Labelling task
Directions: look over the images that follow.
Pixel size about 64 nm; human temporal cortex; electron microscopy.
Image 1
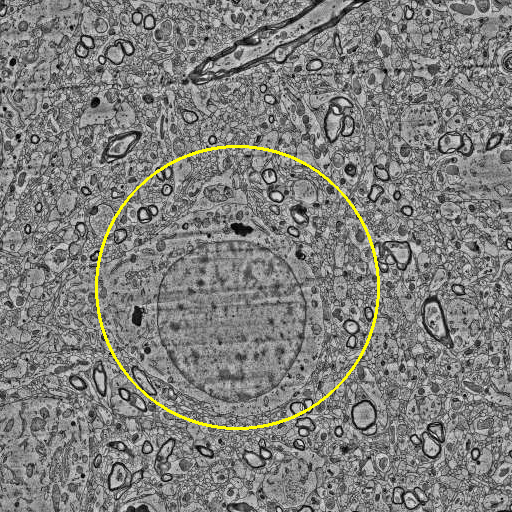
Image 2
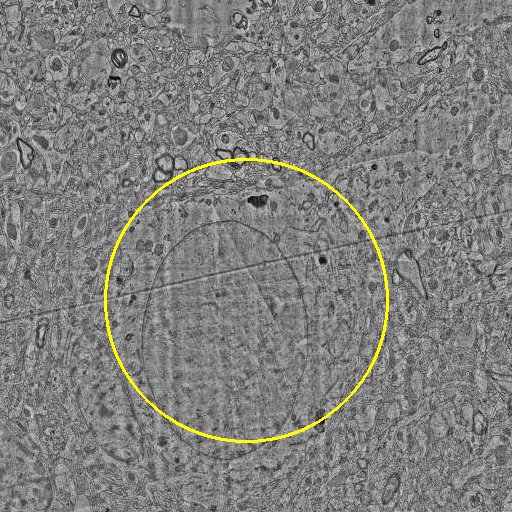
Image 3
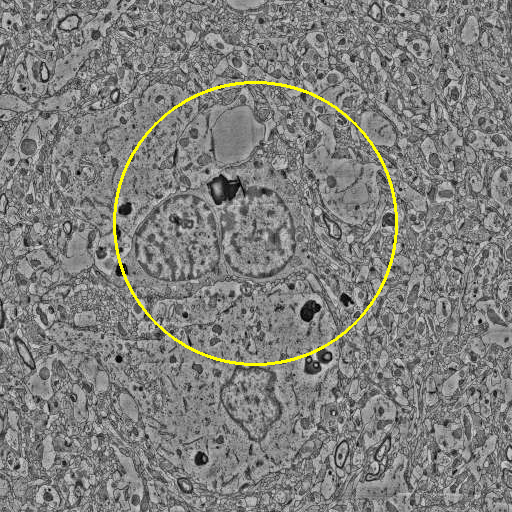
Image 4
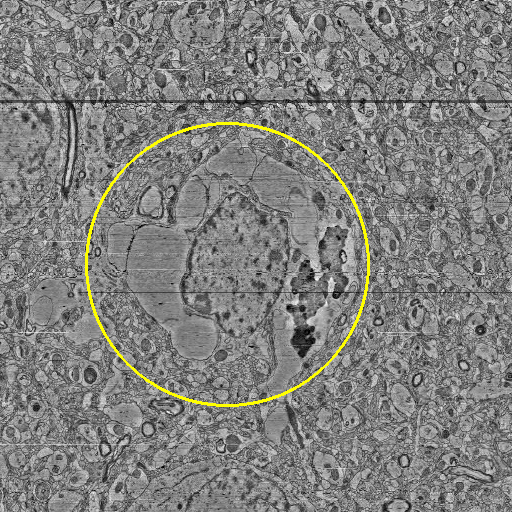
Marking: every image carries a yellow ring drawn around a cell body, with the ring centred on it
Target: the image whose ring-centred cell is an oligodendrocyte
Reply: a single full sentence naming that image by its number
The requested cell sits at the ring's centre in Image 3.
